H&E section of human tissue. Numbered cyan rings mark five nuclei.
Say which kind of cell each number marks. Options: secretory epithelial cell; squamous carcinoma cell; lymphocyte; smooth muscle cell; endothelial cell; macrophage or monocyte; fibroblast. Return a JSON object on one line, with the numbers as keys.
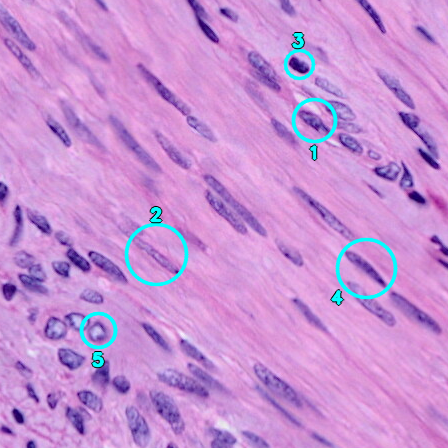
{"1": "endothelial cell", "2": "smooth muscle cell", "3": "lymphocyte", "4": "fibroblast", "5": "endothelial cell"}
